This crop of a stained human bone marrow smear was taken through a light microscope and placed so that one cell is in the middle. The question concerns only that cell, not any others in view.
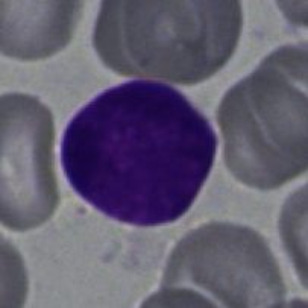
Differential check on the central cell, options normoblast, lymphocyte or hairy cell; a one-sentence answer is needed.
The target cell in the middle of the crop is a lymphocyte.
